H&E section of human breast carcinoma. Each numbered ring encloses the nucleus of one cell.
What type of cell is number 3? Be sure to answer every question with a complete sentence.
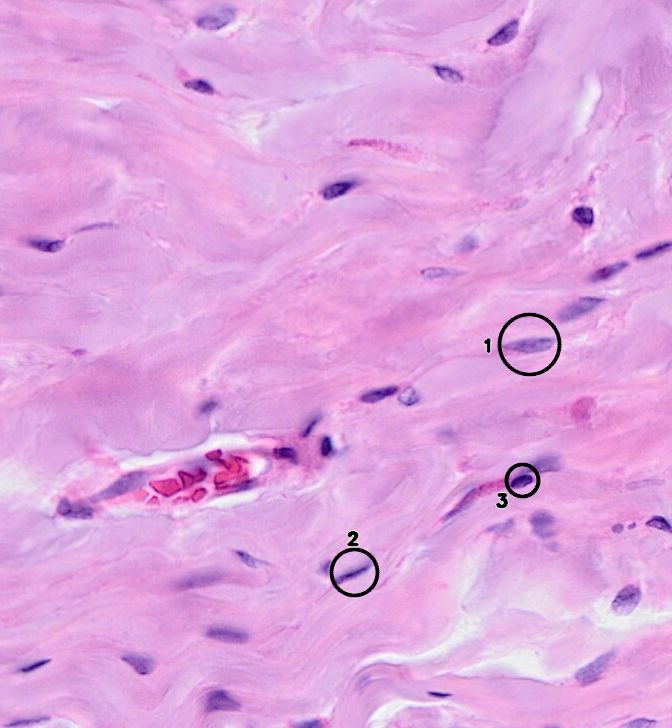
The marked cell with the number 3 is recognised as a lymphocyte.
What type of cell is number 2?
The cell that carries the label 2 is a fibroblast.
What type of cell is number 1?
Denoted by the label 1 in the section is a fibroblast.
